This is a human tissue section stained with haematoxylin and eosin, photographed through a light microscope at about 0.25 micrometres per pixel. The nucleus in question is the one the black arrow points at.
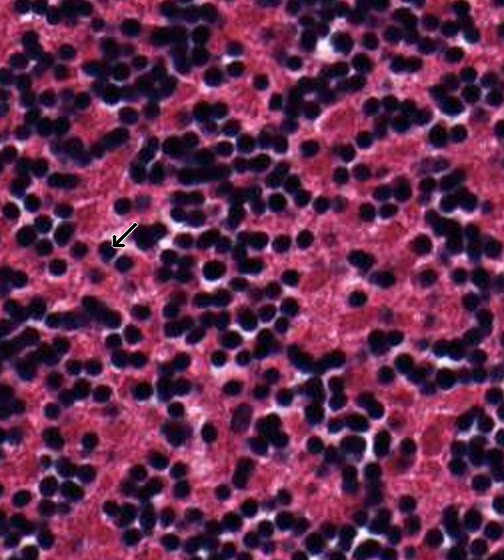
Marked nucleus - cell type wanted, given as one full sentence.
The mark indicates the nucleus of a cerebellar granule cell.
